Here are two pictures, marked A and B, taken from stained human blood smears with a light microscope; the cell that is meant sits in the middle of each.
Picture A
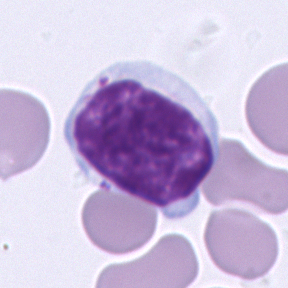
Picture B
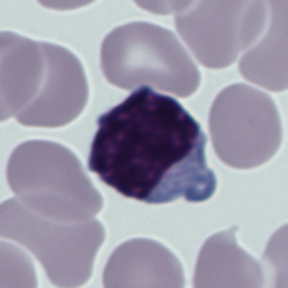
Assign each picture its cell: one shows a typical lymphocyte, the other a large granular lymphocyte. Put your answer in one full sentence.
In picture A the cell is a large granular lymphocyte; in picture B, a typical lymphocyte.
